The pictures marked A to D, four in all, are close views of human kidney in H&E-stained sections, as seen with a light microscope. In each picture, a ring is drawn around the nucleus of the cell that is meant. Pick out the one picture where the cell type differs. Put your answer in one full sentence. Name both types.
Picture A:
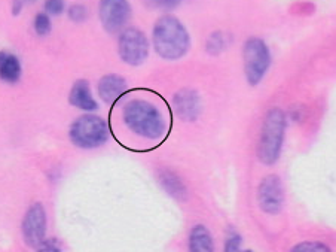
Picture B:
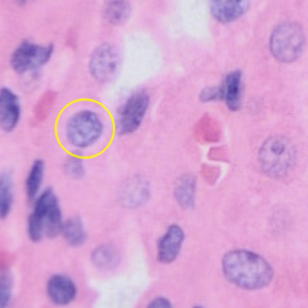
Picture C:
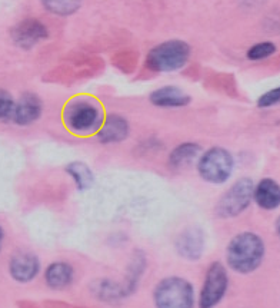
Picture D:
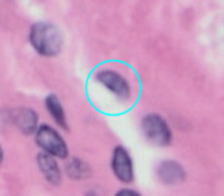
The others show collecting duct cells, but picture B shows a “loop of Henle or distal tubule cell”.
